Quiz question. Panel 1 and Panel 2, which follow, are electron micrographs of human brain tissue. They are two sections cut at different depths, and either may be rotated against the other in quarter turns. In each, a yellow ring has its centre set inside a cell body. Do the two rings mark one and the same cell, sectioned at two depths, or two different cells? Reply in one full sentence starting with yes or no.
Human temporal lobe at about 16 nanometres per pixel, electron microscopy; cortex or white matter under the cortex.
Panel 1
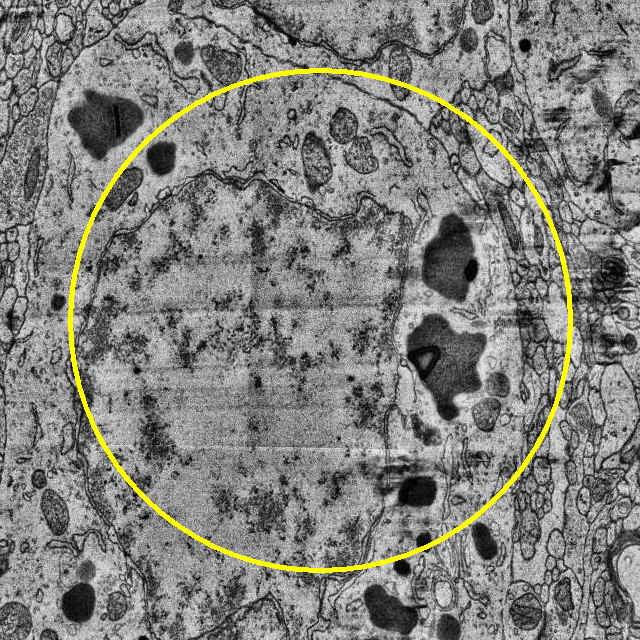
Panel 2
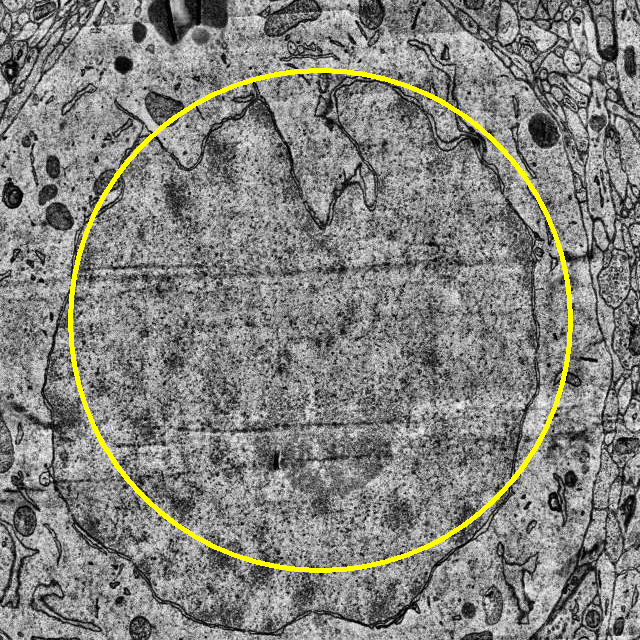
No, there are two different cells marked by the rings.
